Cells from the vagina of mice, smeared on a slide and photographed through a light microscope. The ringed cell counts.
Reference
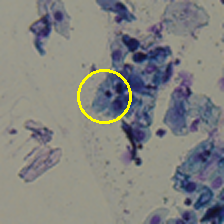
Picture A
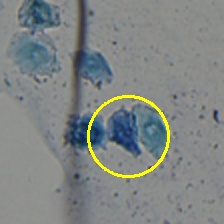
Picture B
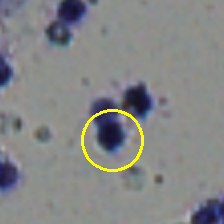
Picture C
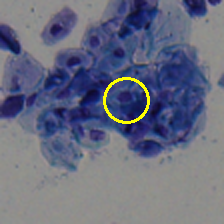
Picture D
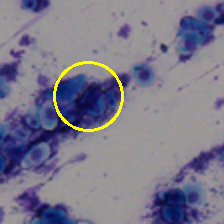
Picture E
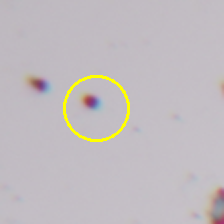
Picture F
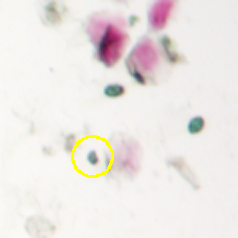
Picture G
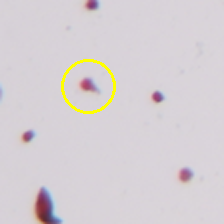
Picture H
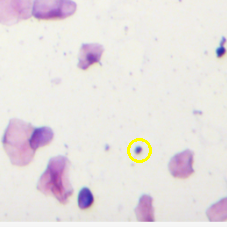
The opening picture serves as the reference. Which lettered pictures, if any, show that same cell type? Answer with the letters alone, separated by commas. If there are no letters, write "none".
C, D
